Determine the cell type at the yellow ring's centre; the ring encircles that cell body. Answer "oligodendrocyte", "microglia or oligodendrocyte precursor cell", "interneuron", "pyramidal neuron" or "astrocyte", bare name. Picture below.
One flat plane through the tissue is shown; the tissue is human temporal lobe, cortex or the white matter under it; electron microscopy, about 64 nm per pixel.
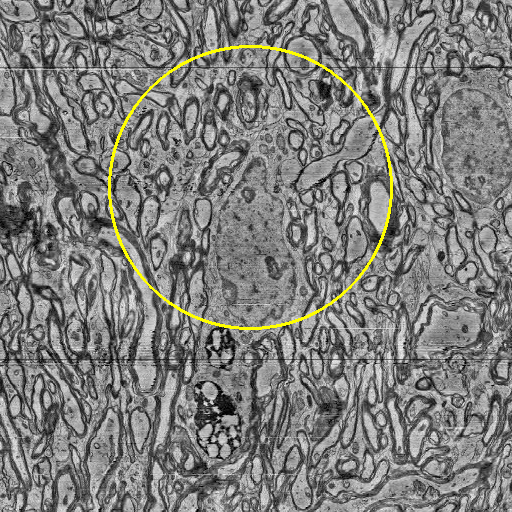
astrocyte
